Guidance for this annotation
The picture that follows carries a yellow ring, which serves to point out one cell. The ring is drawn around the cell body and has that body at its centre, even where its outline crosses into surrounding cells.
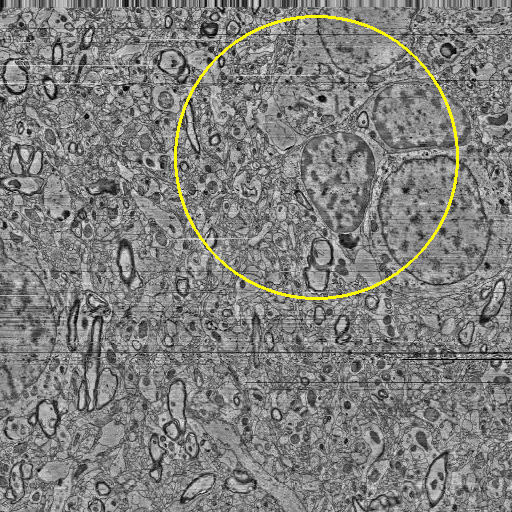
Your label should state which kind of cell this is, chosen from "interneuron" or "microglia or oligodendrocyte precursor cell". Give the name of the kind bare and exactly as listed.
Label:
microglia or oligodendrocyte precursor cell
